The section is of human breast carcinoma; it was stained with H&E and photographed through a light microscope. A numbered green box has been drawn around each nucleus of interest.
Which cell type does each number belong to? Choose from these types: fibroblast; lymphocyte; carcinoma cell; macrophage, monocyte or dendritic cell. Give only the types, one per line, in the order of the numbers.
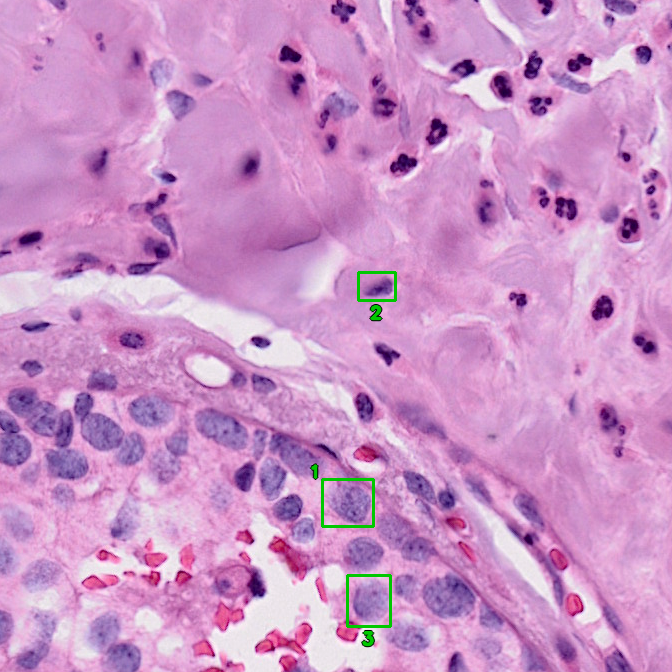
carcinoma cell
fibroblast
carcinoma cell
